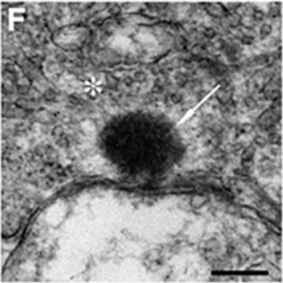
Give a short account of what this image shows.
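A dark, dense ribbon body sits close to the cell membrane. Its base is anchored right at the membrane. Below that membrane lies a large, pale, sparsely filled profile. Small round vesicles are scattered in the cytoplasm above and beside the ribbon.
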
